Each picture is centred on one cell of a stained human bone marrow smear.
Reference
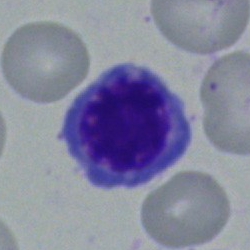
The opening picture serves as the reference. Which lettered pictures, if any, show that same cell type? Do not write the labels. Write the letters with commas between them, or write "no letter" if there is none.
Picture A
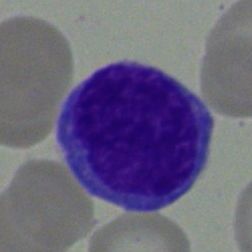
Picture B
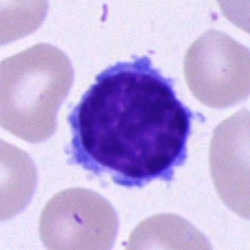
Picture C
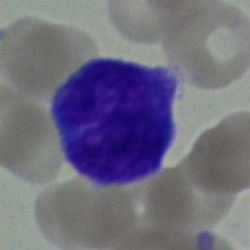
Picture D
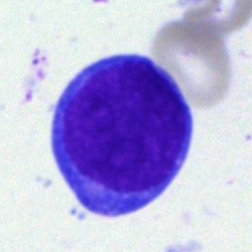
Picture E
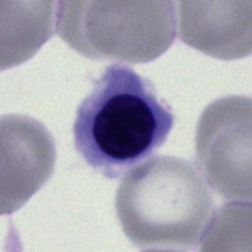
E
